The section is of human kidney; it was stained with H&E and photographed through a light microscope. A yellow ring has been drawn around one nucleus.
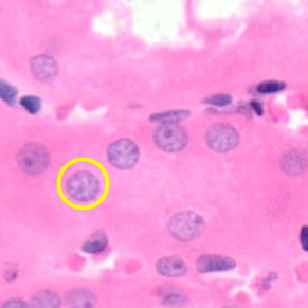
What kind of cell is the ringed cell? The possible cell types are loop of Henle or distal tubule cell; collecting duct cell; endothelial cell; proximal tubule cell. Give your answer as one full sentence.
The cell type represented by the ringed cell is that of a proximal tubule cell.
